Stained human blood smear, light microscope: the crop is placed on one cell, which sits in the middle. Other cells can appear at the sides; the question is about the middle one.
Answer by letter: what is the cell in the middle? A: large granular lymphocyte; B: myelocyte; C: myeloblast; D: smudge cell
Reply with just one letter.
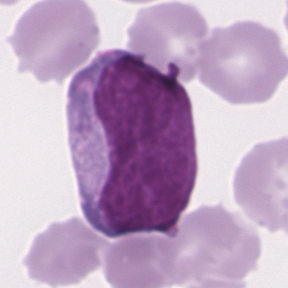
C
